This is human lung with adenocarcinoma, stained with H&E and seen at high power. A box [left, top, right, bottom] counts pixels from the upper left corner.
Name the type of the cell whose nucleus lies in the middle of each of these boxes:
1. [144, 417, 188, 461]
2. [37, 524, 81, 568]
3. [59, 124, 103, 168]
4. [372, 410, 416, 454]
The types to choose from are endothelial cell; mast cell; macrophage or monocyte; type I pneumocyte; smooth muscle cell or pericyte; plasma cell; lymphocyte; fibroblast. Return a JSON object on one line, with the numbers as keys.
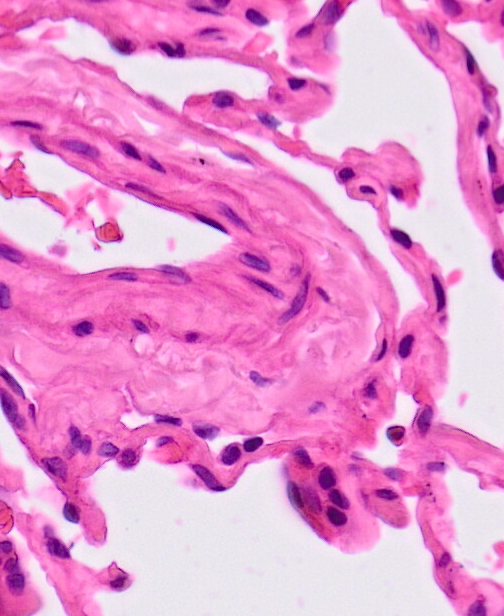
{"1": "endothelial cell", "2": "type I pneumocyte", "3": "smooth muscle cell or pericyte", "4": "type I pneumocyte"}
